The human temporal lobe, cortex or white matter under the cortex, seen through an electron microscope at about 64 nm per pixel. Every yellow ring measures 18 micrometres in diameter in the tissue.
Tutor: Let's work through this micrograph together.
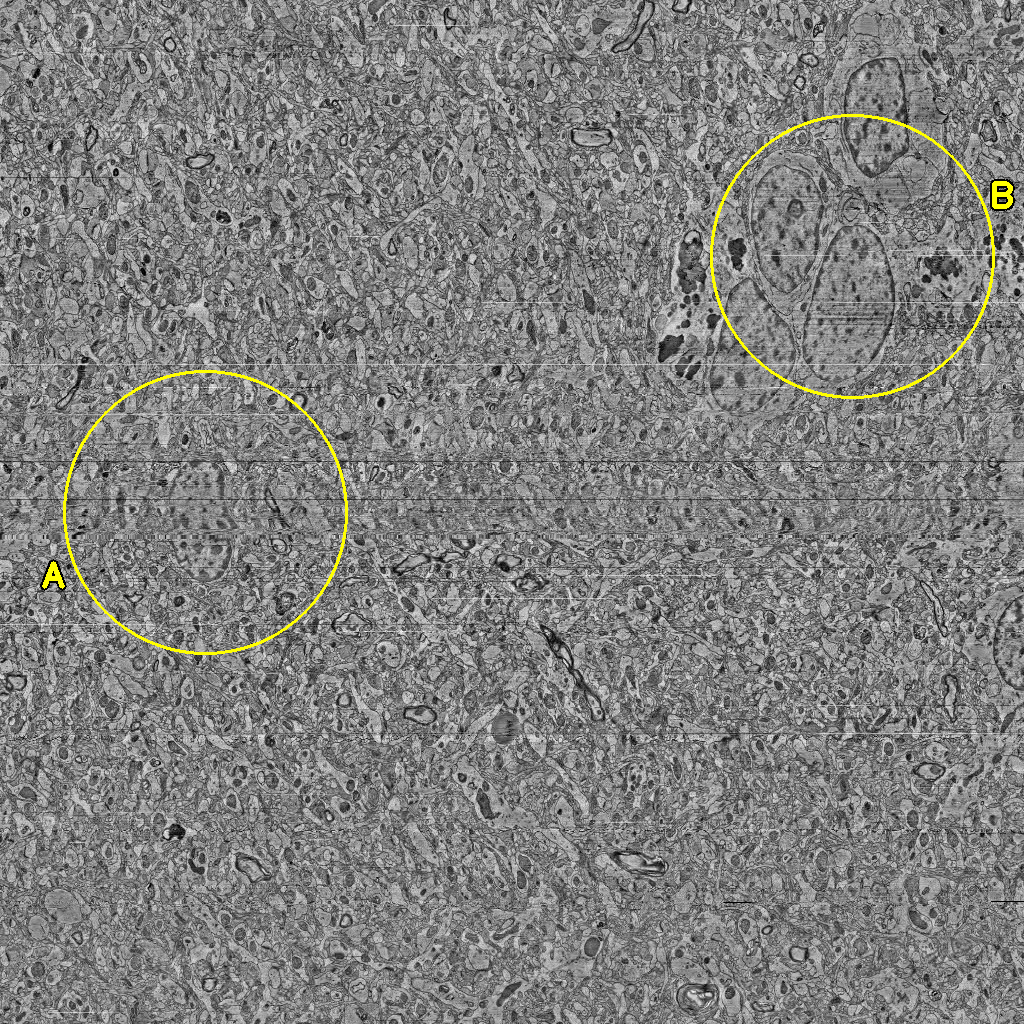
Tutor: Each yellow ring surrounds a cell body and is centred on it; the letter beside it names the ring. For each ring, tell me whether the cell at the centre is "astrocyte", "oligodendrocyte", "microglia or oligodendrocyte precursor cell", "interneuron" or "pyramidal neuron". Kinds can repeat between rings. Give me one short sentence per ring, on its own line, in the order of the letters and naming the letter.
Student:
The ring labelled A is centred on a microglial cell or oligodendrocyte precursor cell.
The ring labelled B is centred on an astrocyte.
